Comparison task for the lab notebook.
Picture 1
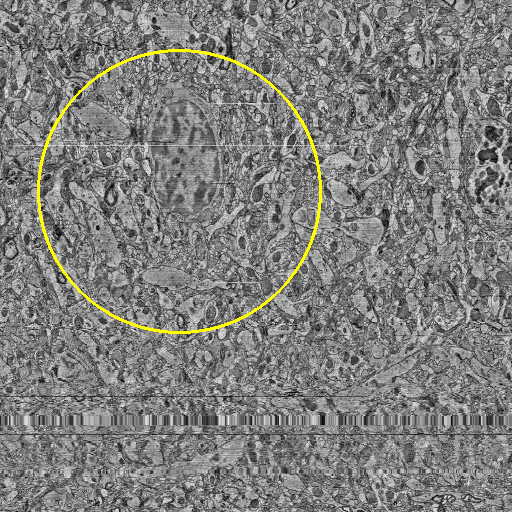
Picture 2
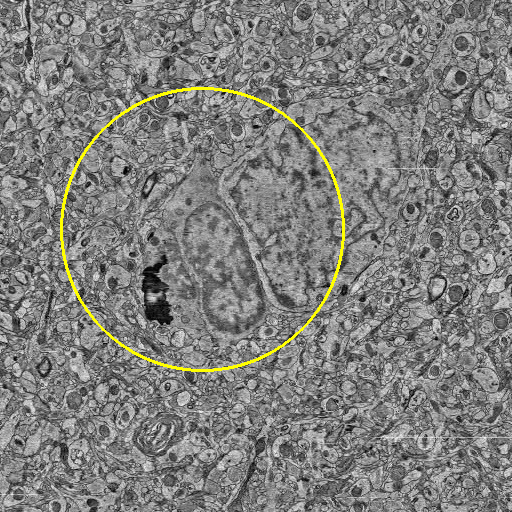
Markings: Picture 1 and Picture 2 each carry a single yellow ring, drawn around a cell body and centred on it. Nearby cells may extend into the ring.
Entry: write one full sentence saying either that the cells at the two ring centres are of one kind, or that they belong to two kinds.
The cells sitting at the ring centres in Picture 1 and Picture 2 are of one kind.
